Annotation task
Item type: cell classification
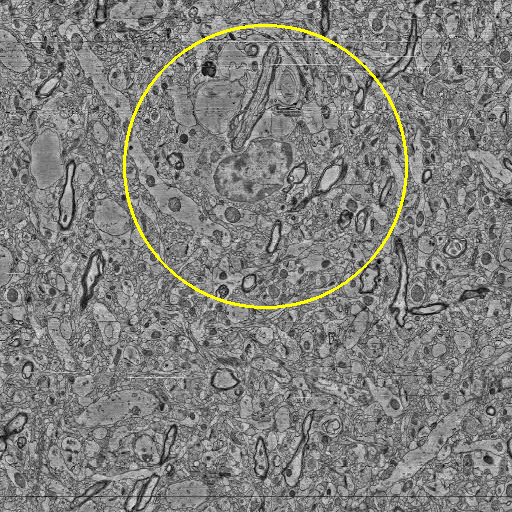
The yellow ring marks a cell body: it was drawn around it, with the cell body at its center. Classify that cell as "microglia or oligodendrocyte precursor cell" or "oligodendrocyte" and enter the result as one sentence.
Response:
The ring's center falls on an oligodendrocyte.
